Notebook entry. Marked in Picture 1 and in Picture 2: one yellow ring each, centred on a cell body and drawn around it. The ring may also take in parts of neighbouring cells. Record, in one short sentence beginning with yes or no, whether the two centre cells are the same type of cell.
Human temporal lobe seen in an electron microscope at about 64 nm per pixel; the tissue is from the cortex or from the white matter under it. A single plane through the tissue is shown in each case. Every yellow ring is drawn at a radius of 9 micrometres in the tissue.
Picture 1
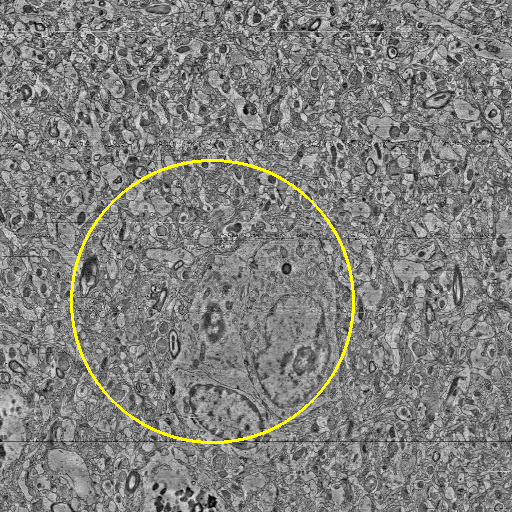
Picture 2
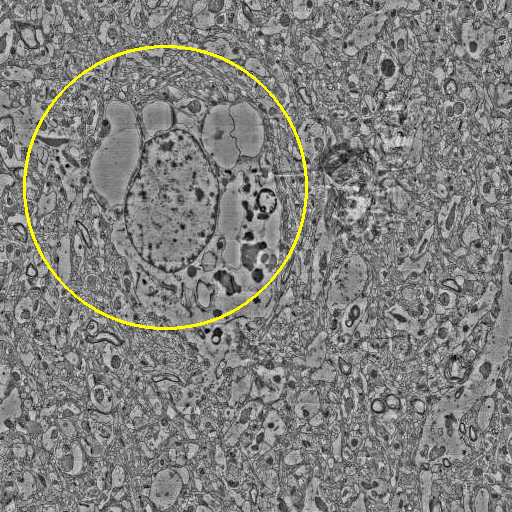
No, they are two types of cell.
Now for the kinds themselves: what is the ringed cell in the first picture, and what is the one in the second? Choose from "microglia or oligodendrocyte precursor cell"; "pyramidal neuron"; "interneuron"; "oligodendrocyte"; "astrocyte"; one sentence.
Here the first cell is a microglial cell or oligodendrocyte precursor cell and the second cell is an astrocyte.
